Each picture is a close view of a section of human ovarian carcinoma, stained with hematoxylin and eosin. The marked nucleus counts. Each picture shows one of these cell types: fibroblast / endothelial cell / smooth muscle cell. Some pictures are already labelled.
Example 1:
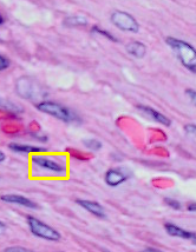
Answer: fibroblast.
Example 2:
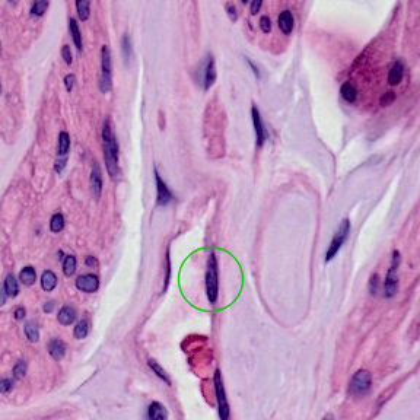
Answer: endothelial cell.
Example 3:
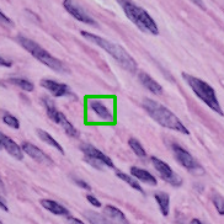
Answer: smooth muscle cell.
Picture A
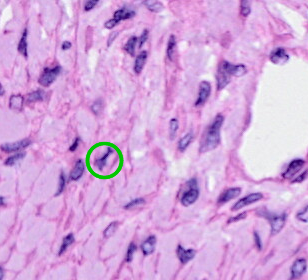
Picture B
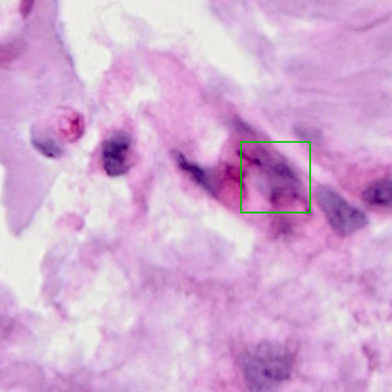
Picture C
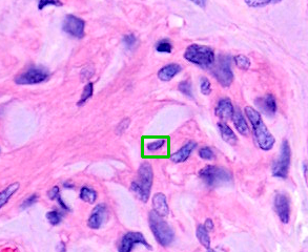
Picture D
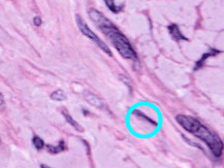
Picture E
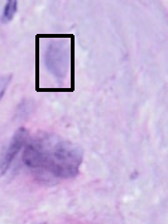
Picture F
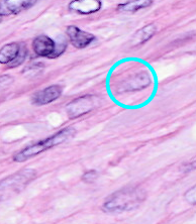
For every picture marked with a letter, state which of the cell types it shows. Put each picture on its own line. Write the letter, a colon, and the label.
A: fibroblast.
B: endothelial cell.
C: smooth muscle cell.
D: fibroblast.
E: fibroblast.
F: fibroblast.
